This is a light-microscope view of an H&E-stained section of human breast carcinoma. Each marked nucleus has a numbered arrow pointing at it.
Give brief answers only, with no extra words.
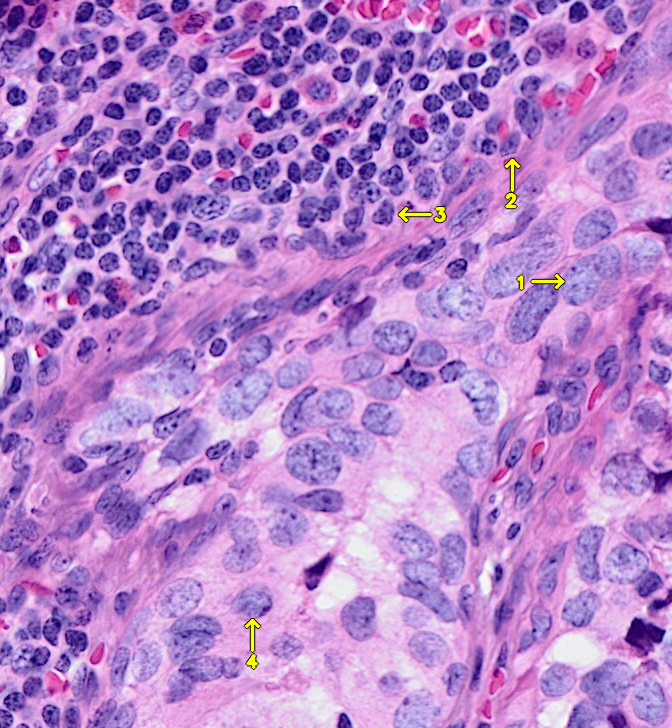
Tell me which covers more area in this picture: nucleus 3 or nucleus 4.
4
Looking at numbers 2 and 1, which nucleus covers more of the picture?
1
